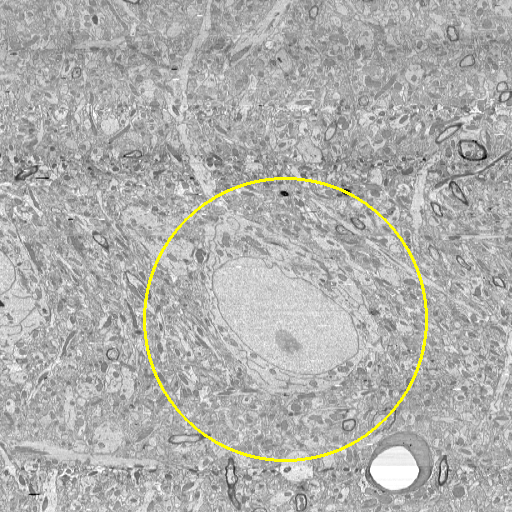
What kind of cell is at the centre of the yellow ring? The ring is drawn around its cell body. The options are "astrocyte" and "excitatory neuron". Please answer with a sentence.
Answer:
The yellow ring marks the cell body of an excitatory neuron.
